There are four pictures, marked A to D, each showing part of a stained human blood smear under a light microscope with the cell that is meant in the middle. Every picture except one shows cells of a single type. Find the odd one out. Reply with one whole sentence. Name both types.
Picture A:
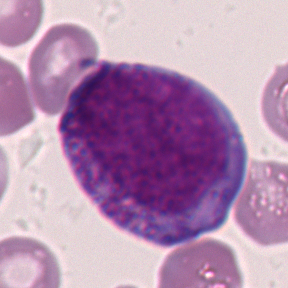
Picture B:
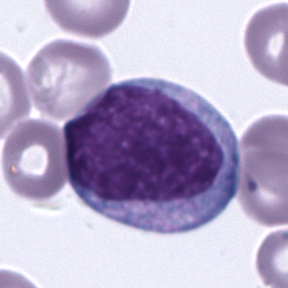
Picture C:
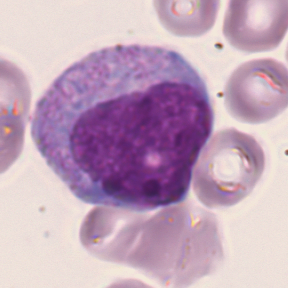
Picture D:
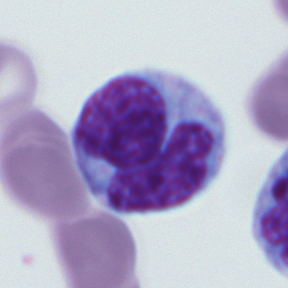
All pictures except D show promyelocytes; picture D shows a monocyte.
